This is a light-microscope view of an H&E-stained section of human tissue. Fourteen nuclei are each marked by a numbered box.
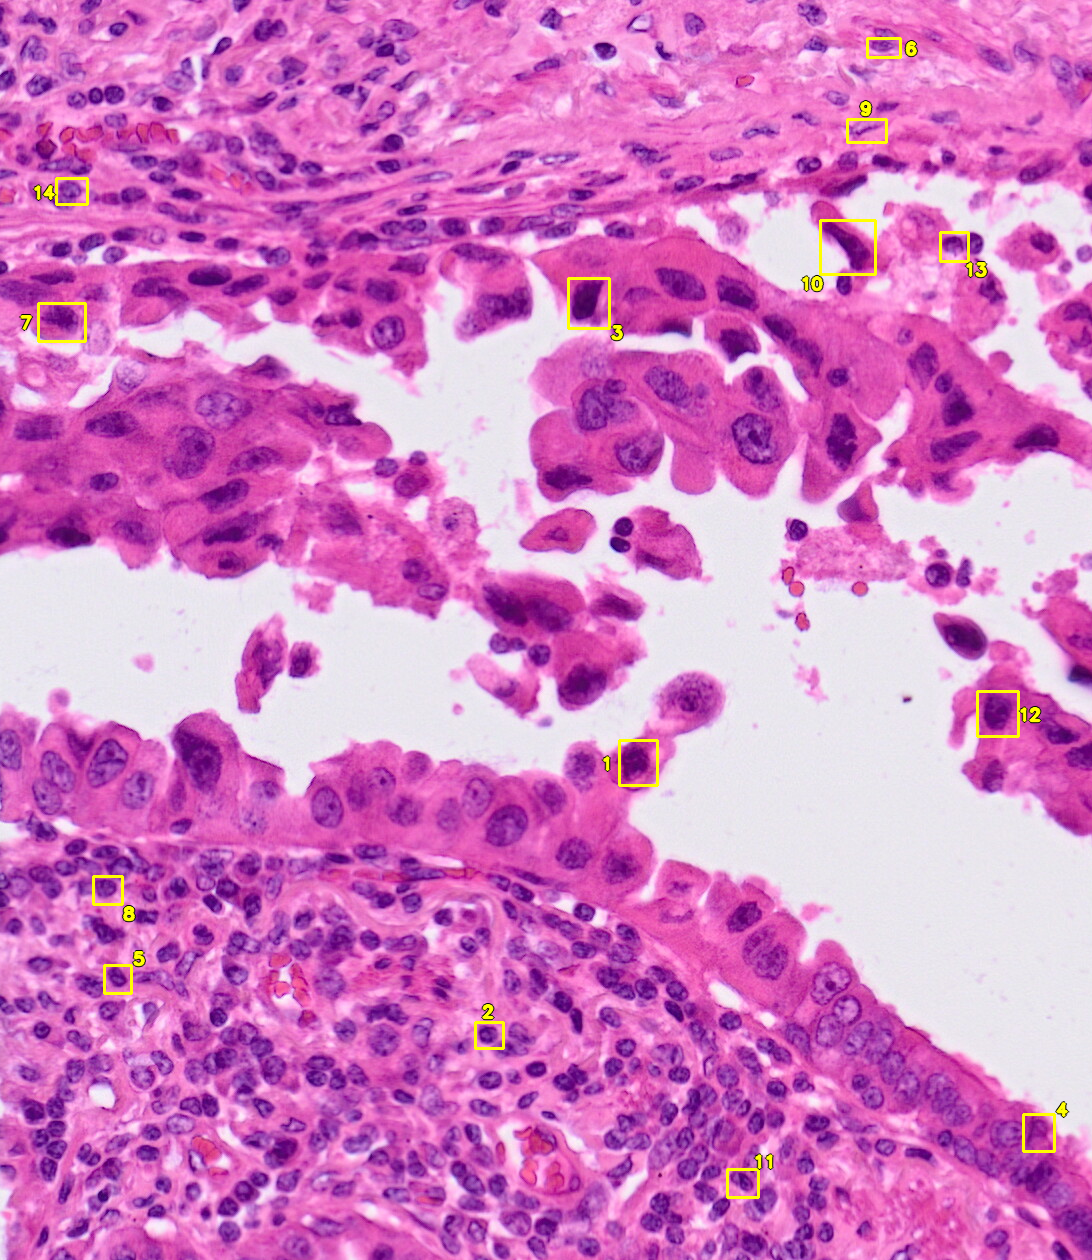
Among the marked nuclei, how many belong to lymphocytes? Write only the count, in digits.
5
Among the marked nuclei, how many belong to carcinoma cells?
5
